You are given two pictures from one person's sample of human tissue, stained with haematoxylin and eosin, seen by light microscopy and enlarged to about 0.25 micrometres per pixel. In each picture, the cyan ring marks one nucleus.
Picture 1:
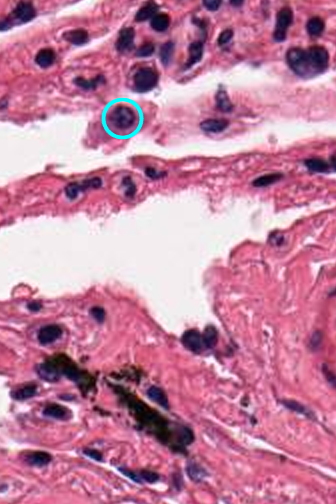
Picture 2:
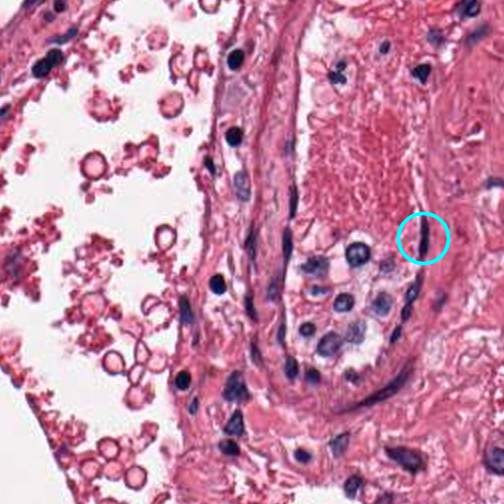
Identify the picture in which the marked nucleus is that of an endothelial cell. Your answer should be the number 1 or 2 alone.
2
